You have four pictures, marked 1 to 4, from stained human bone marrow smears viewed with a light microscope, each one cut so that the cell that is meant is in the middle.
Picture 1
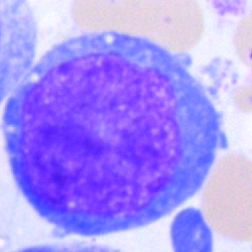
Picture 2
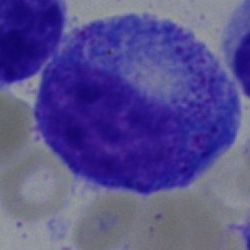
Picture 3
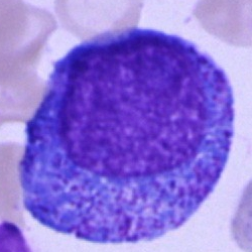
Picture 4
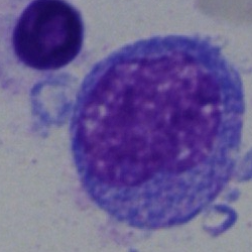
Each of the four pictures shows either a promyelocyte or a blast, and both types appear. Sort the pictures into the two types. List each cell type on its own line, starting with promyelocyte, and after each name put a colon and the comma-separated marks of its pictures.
promyelocyte: 2, 3
blast: 1, 4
